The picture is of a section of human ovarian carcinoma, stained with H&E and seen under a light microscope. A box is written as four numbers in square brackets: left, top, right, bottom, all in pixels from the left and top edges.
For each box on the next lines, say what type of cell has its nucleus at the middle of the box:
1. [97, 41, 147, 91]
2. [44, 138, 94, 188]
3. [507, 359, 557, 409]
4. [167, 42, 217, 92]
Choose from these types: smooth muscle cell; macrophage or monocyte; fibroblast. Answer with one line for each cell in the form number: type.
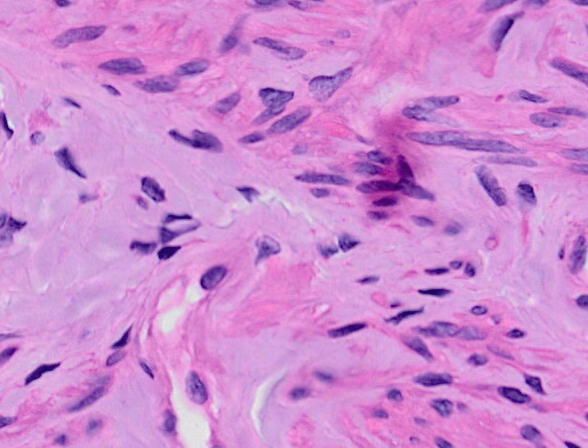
1: smooth muscle cell
2: fibroblast
3: smooth muscle cell
4: smooth muscle cell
